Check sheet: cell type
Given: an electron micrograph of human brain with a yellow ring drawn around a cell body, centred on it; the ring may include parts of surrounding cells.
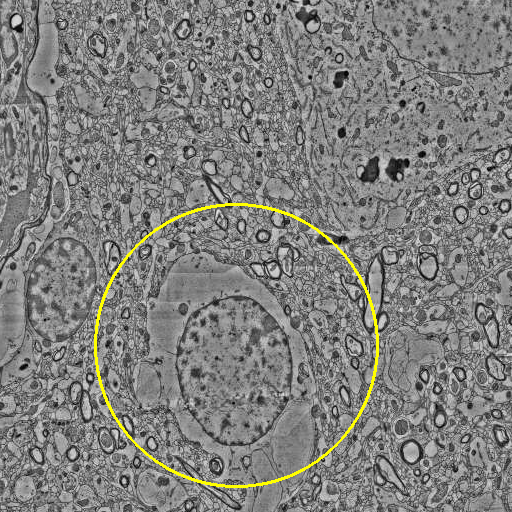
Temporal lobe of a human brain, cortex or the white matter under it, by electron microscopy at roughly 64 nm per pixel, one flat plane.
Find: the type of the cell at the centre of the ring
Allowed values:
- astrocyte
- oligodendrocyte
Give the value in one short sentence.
Here the ringed cell is an astrocyte.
